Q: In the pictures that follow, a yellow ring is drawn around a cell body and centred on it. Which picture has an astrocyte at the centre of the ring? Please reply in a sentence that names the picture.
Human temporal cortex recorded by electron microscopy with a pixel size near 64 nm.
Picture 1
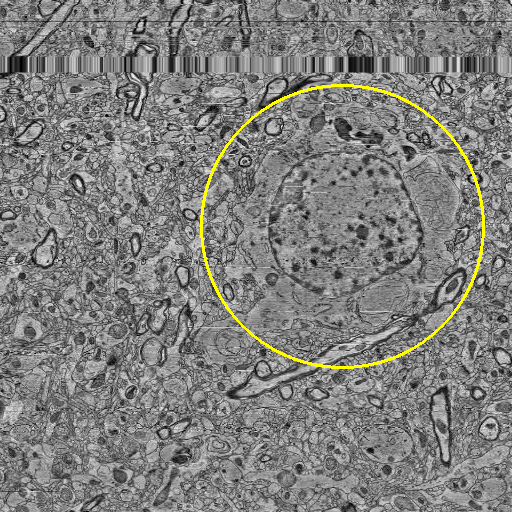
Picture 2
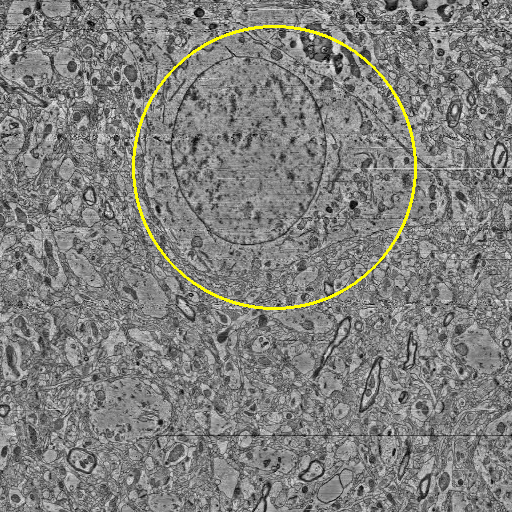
Picture 1 shows it at the centre of its ring.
